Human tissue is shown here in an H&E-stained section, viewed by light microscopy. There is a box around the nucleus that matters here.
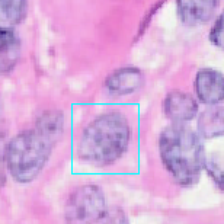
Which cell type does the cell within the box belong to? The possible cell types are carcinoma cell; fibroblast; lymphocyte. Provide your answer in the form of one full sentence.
In this tissue sample, the cell within the box is a carcinoma cell.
